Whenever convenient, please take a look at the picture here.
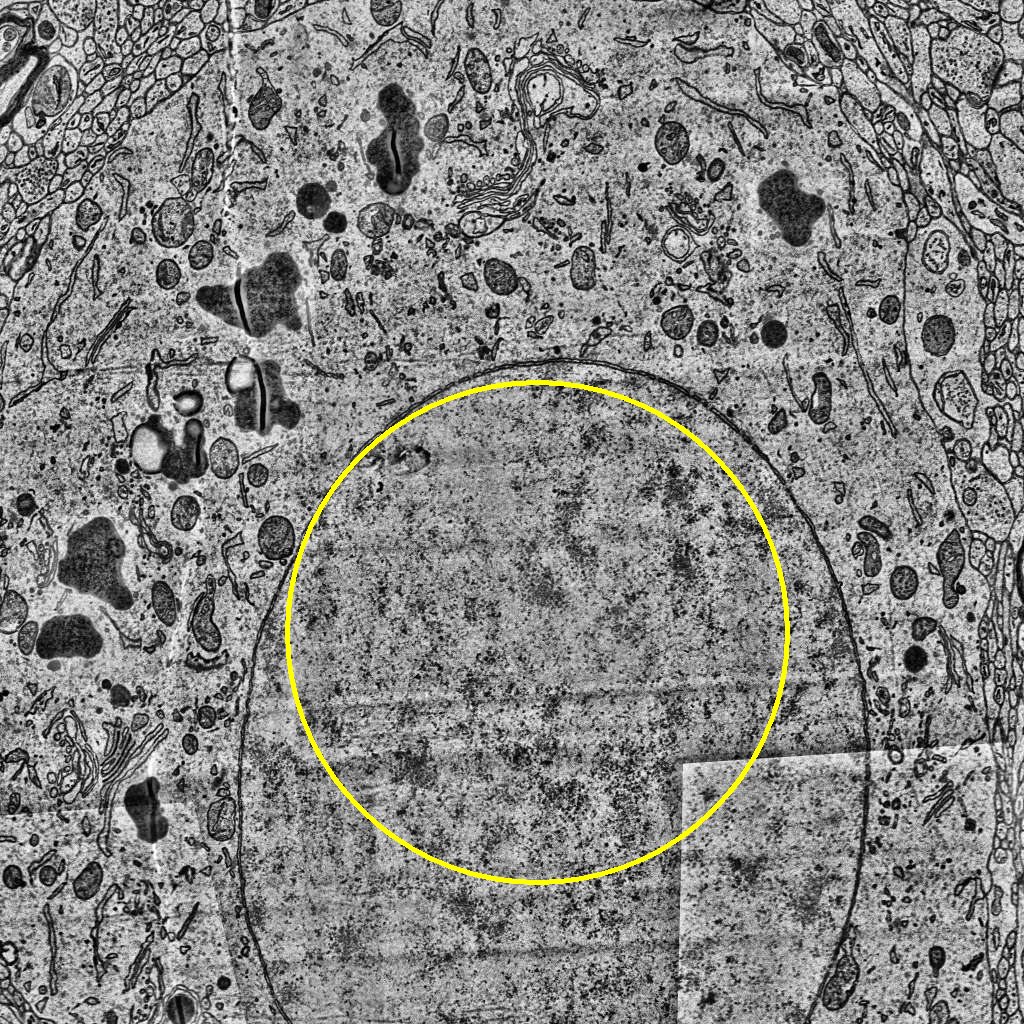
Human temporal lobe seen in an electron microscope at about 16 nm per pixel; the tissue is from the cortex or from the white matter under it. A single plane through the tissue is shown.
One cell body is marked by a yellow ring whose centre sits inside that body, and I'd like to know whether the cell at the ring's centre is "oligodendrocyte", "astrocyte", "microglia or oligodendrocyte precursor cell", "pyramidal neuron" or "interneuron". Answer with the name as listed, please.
pyramidal neuron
